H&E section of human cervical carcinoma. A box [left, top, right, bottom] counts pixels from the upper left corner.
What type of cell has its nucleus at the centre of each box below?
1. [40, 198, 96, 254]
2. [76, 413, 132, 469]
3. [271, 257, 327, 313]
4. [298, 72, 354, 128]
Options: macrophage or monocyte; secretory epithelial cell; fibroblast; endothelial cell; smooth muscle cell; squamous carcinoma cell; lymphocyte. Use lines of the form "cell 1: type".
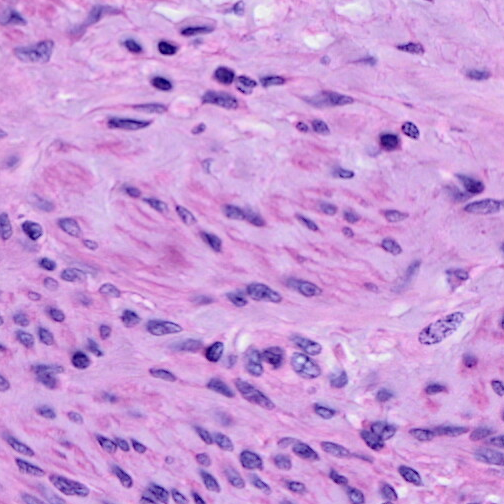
cell 1: smooth muscle cell
cell 2: smooth muscle cell
cell 3: smooth muscle cell
cell 4: fibroblast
